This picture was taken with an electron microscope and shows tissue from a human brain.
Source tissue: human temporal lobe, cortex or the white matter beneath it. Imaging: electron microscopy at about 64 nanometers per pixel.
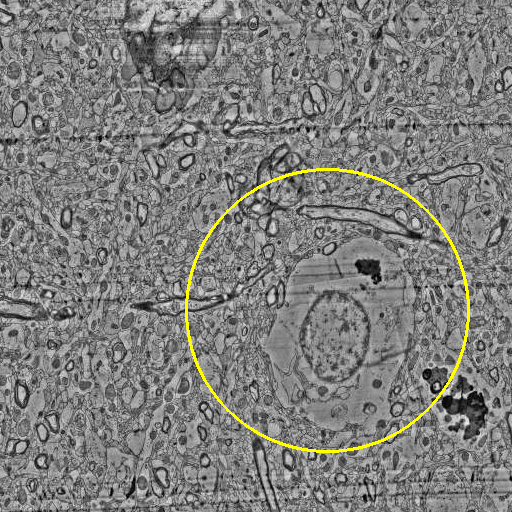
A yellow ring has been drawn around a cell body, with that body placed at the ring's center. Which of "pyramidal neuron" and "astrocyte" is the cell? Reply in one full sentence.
In this picture, an astrocyte is the cell at the center of the yellow ring.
